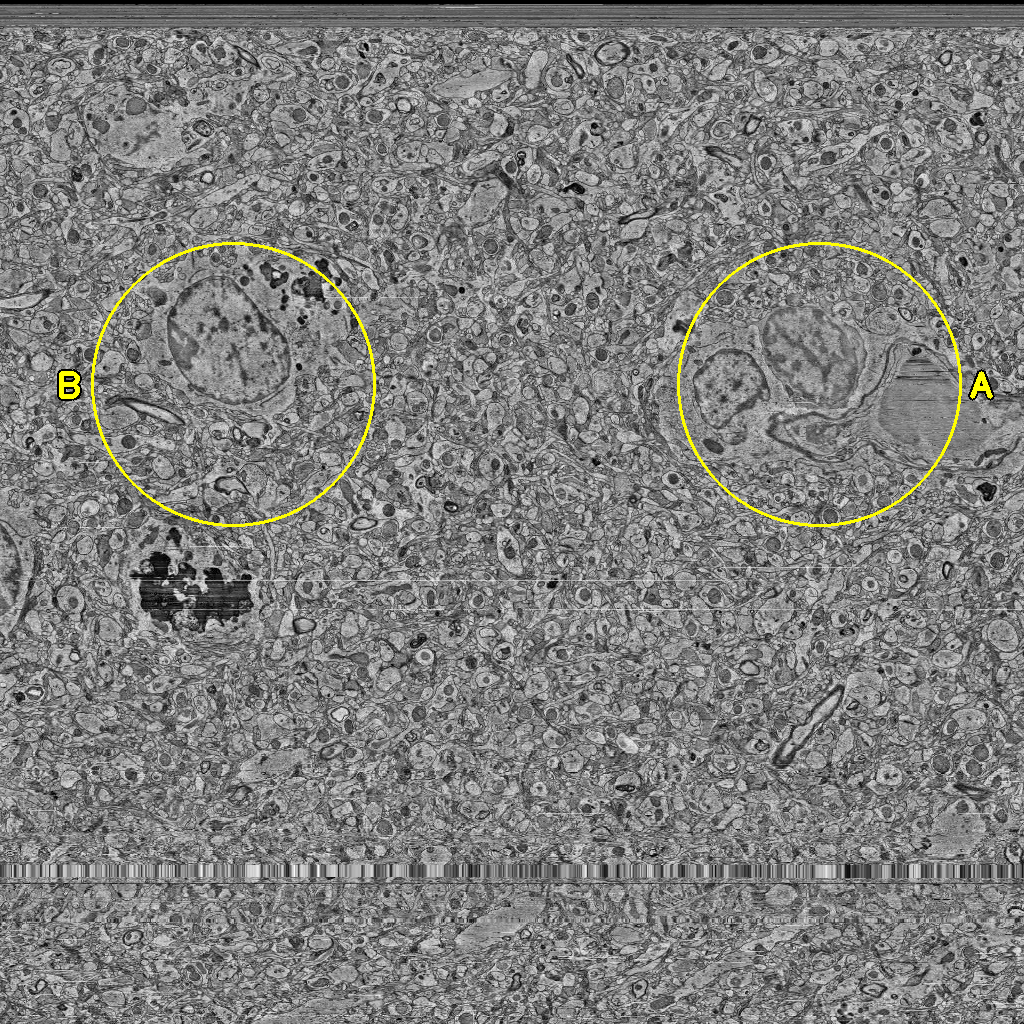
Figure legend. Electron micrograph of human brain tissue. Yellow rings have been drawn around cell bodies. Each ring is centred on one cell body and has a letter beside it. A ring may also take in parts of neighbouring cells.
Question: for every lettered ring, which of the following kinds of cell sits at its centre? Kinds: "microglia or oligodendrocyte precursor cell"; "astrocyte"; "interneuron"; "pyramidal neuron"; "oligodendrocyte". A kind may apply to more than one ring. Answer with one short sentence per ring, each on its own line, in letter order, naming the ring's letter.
Ring A is centred on an oligodendrocyte.
Ring B is centred on an astrocyte.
